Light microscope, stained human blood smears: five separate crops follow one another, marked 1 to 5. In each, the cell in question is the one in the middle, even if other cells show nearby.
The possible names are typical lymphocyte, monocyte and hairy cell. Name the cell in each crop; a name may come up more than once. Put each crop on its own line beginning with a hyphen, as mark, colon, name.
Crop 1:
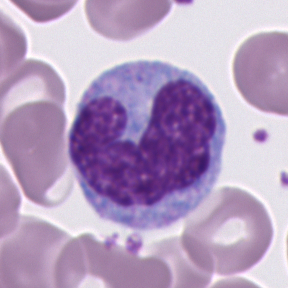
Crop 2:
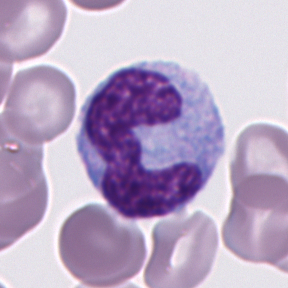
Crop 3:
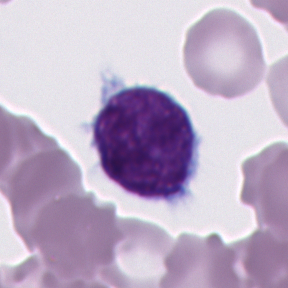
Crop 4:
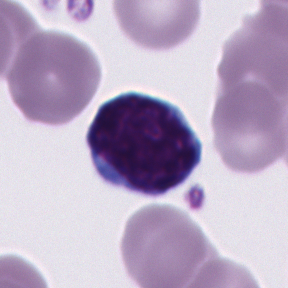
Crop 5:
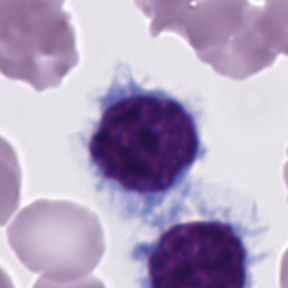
- 1: monocyte
- 2: monocyte
- 3: hairy cell
- 4: typical lymphocyte
- 5: hairy cell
